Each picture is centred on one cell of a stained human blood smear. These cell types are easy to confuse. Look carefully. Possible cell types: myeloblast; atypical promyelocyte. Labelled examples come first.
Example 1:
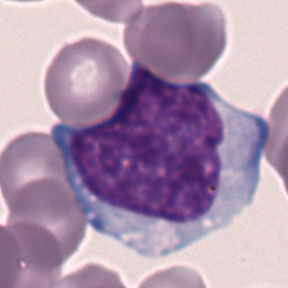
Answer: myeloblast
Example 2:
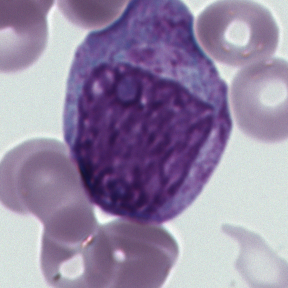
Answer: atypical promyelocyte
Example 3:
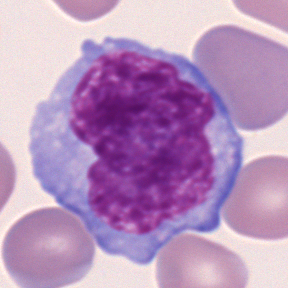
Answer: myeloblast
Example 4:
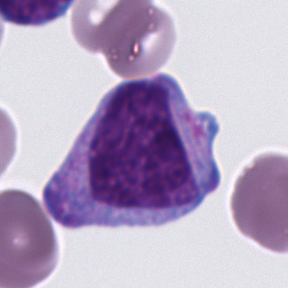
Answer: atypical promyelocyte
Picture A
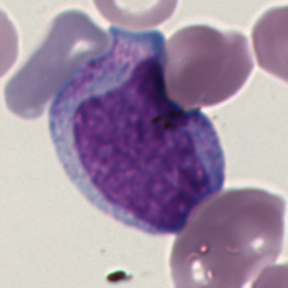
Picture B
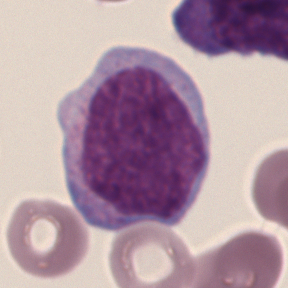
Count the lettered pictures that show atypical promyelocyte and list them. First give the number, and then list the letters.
2, namely A, B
